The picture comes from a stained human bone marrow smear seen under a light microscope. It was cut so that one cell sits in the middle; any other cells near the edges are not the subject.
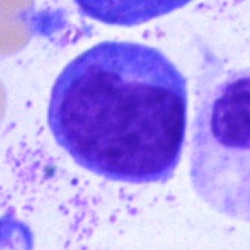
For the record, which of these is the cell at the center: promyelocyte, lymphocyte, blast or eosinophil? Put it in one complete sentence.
The middle of this crop is occupied by a blast.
